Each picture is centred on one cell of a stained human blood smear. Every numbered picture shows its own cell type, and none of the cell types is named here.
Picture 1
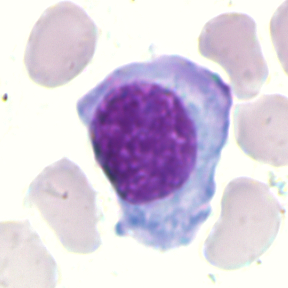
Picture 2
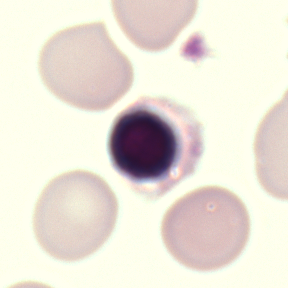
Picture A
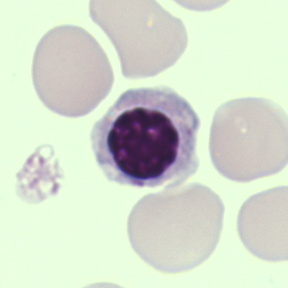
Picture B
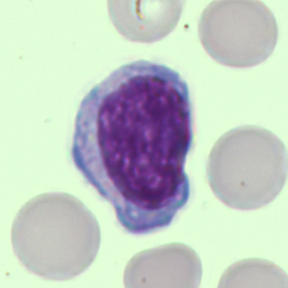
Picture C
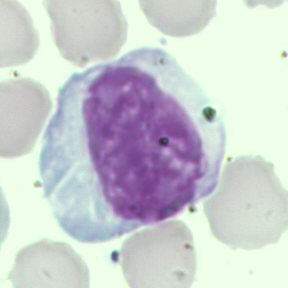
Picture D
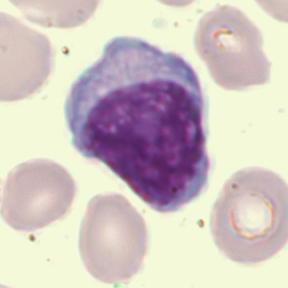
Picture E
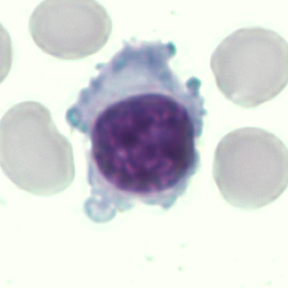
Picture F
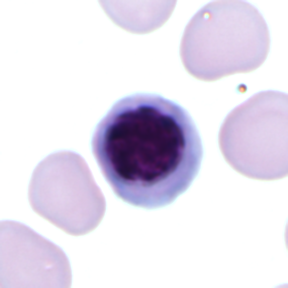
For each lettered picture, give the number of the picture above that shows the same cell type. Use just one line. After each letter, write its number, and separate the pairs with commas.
A 2, B 1, C 1, D 1, E 1, F 2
